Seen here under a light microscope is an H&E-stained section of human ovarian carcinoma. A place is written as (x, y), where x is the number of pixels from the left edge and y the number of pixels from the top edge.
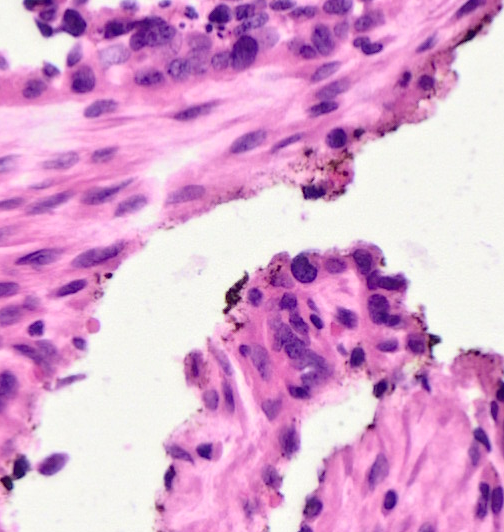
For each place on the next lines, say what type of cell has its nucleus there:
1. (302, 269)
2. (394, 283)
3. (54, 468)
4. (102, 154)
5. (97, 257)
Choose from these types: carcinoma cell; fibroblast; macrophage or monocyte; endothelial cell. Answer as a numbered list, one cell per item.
1. carcinoma cell
2. carcinoma cell
3. carcinoma cell
4. fibroblast
5. fibroblast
